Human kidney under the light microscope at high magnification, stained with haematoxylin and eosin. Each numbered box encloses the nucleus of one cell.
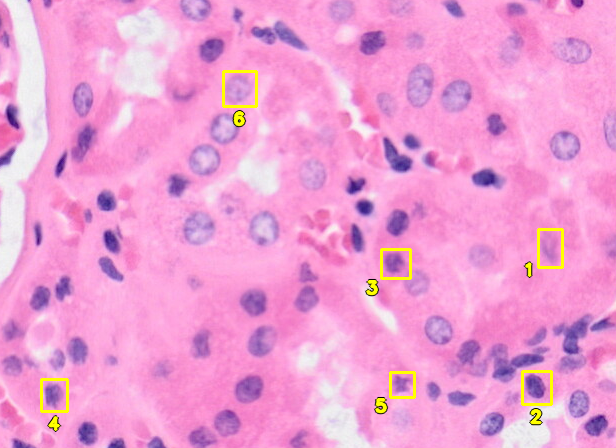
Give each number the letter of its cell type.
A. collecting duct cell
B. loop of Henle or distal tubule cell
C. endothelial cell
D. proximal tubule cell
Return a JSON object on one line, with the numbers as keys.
{"1": "D", "2": "B", "3": "D", "4": "B", "5": "D", "6": "D"}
